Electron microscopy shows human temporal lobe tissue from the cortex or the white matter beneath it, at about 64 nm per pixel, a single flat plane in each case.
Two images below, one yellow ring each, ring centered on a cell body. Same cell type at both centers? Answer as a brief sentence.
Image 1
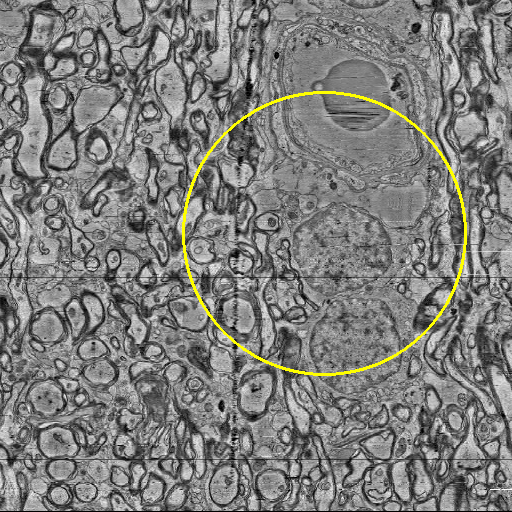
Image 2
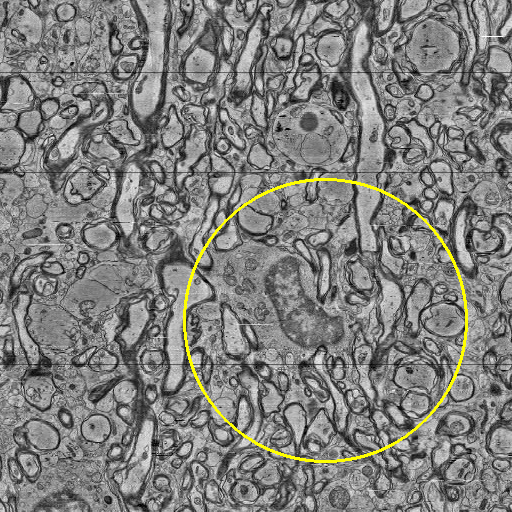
Yes, both cells are of the same type.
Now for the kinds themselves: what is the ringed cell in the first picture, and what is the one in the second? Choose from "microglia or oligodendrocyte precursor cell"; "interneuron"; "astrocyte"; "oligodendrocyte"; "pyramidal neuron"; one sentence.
Both the first and the second picture show an oligodendrocyte in the ring.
